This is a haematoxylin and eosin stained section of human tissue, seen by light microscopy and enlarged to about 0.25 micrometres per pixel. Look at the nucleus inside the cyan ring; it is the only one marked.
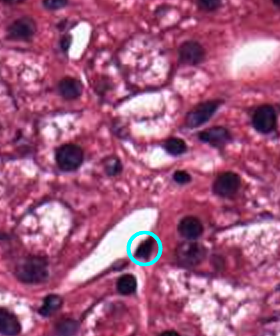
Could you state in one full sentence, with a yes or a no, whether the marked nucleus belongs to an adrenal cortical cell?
No, the marked nucleus is not that of an adrenal cortical cell but that of a supporting cell.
